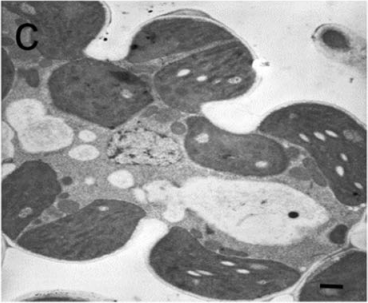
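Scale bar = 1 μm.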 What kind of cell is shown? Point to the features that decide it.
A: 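Pale intercellular air spaces lie between the cells.
Answer: Mesophyll cells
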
